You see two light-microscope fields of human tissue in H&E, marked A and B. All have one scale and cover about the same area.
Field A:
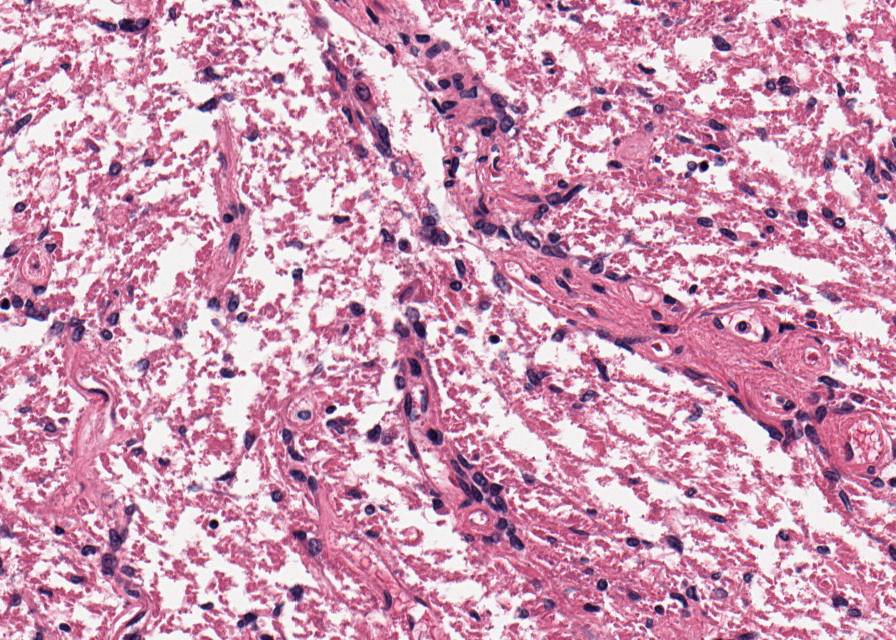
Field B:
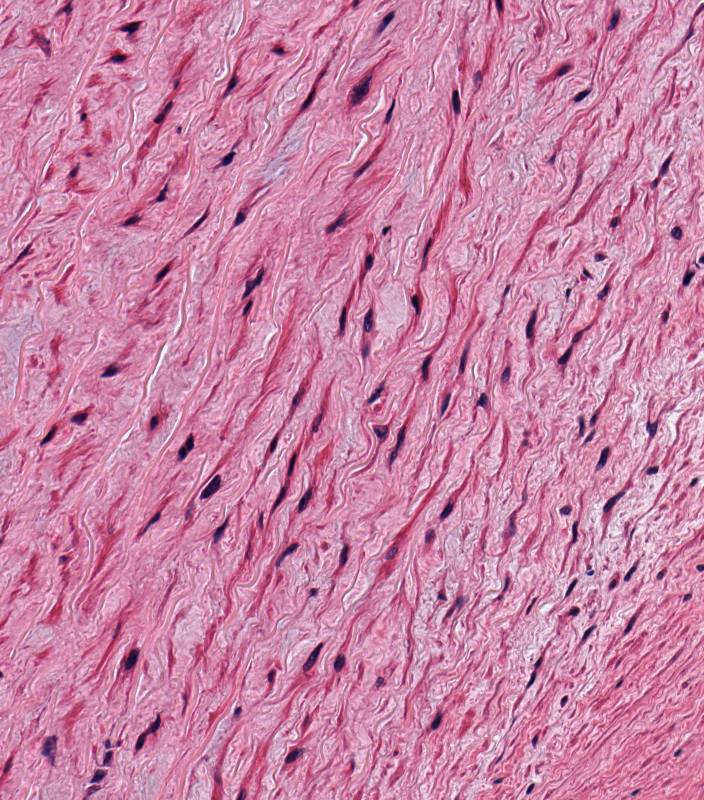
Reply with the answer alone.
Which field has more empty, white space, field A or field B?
A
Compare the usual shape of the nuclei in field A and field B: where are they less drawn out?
A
